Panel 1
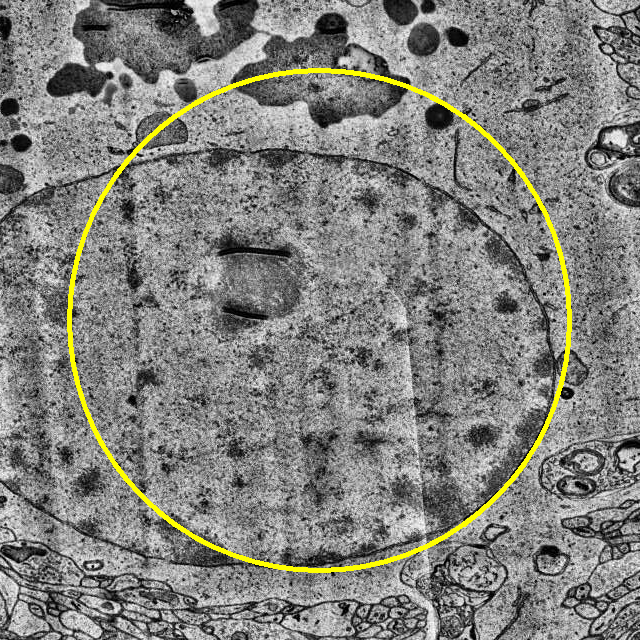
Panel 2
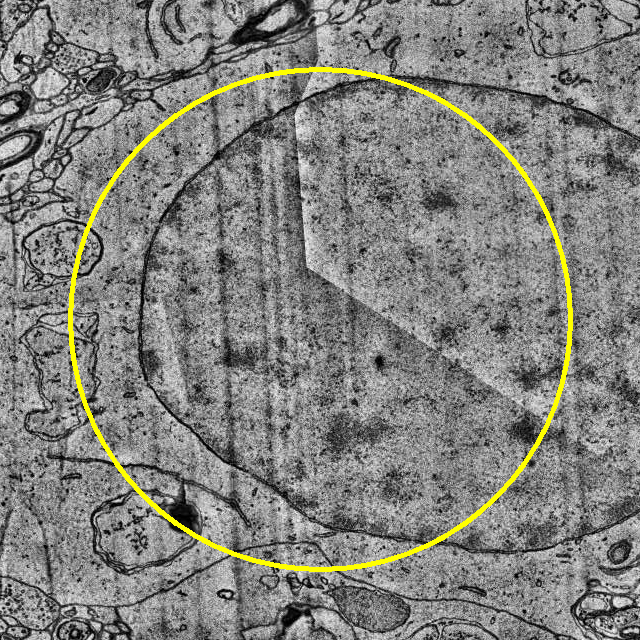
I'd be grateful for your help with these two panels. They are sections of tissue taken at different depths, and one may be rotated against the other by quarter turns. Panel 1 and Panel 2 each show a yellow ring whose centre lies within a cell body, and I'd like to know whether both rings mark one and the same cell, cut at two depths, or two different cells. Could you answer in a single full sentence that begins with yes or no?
No, the rings surround different cells rather than one cell.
